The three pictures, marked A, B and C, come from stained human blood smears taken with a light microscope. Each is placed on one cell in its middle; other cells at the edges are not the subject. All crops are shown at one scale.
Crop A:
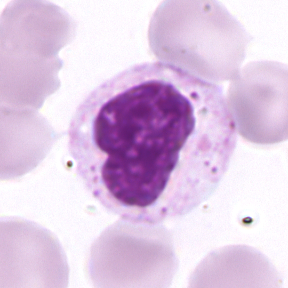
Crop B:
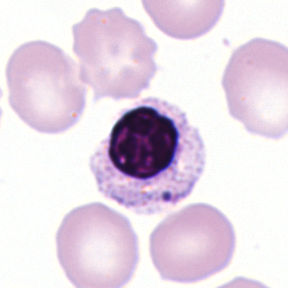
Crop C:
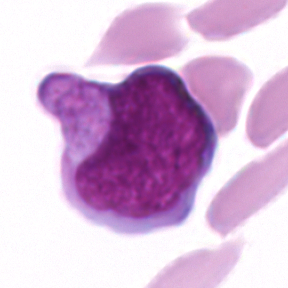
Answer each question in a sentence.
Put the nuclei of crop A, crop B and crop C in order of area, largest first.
The order is C, A, B, beginning with the largest.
